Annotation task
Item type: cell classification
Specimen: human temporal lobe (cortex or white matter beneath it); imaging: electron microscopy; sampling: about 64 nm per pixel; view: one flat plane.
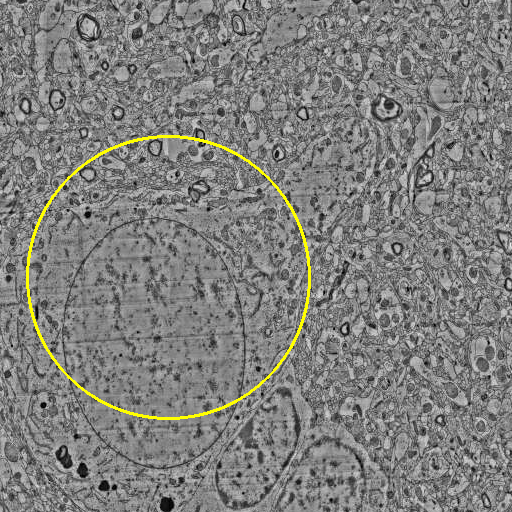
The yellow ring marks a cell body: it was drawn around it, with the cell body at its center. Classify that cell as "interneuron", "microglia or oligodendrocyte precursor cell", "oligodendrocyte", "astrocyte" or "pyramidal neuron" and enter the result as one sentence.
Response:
The ring's center falls on a pyramidal neuron.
